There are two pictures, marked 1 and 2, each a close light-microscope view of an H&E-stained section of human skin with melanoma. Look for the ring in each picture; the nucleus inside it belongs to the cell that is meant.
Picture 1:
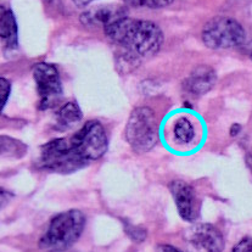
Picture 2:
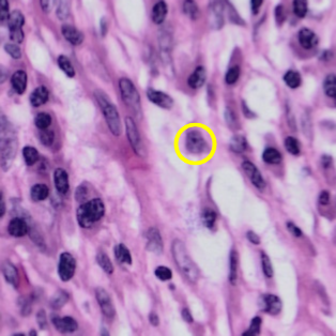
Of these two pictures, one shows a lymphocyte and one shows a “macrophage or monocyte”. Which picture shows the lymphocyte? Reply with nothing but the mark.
1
